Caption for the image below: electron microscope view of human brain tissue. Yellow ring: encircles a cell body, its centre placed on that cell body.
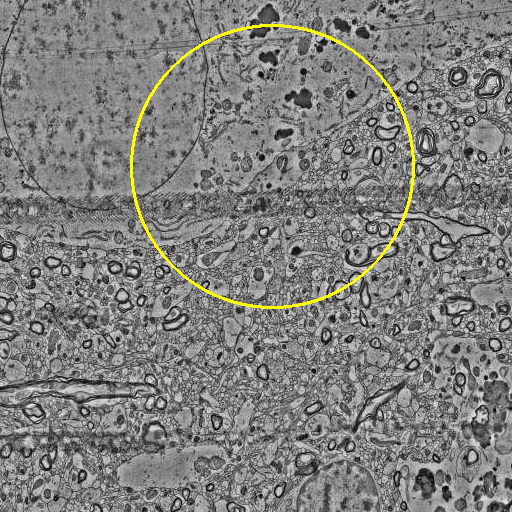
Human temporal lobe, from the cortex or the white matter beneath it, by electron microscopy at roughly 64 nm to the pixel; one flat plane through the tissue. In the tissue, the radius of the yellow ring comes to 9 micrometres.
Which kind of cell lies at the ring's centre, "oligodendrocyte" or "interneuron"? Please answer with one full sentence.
The picture shows an oligodendrocyte at the centre of the yellow ring.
